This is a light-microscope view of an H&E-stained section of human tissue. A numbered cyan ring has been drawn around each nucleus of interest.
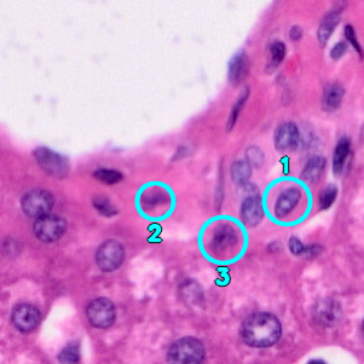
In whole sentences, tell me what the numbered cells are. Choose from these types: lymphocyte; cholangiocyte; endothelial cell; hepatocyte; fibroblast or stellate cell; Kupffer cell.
Cell 1 is a cholangiocyte. Cells 2 and 3 are fibroblasts or stellate cells.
